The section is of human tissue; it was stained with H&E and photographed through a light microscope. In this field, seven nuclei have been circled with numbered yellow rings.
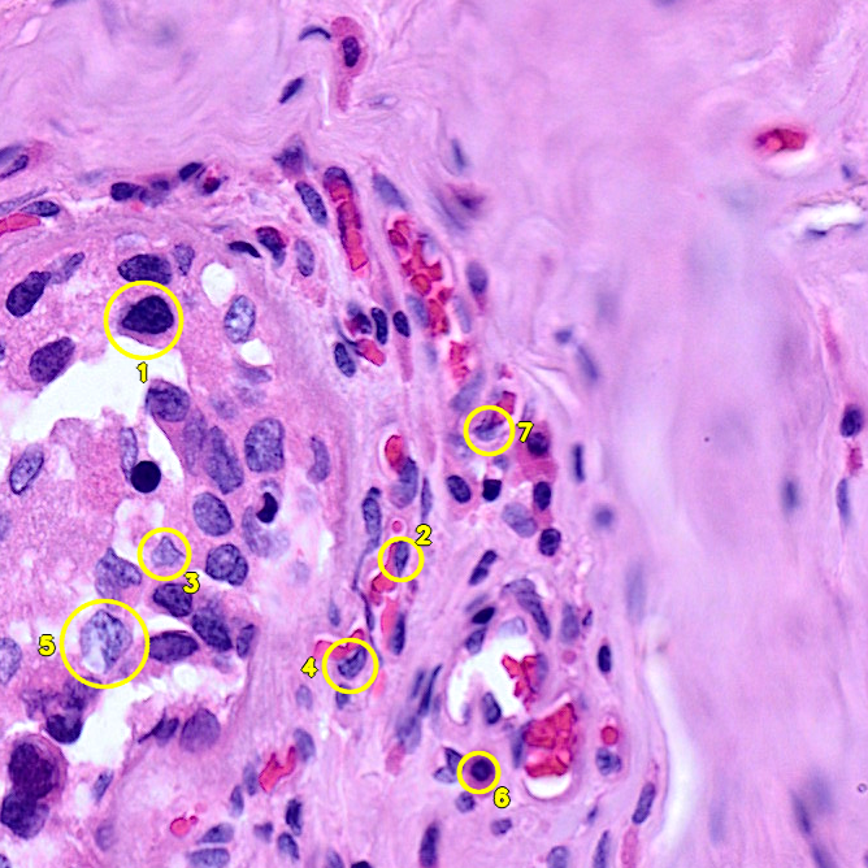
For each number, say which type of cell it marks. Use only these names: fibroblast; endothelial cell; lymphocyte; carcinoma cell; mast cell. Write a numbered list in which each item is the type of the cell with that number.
1. carcinoma cell
2. endothelial cell
3. carcinoma cell
4. endothelial cell
5. carcinoma cell
6. mast cell
7. endothelial cell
